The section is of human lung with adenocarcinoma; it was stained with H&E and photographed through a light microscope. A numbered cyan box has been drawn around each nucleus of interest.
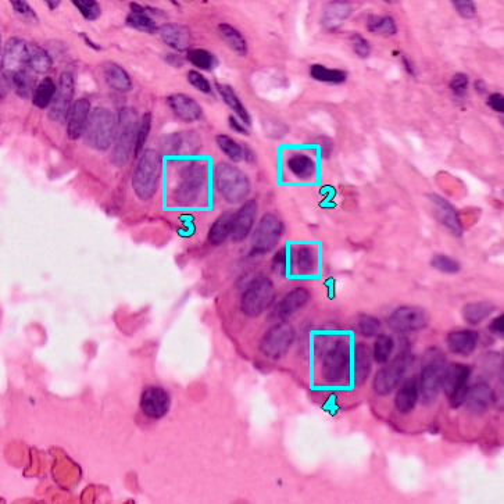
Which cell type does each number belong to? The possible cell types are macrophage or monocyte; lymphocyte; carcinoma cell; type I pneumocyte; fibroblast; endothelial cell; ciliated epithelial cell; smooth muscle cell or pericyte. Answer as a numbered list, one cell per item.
1. ciliated epithelial cell
2. lymphocyte
3. ciliated epithelial cell
4. ciliated epithelial cell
